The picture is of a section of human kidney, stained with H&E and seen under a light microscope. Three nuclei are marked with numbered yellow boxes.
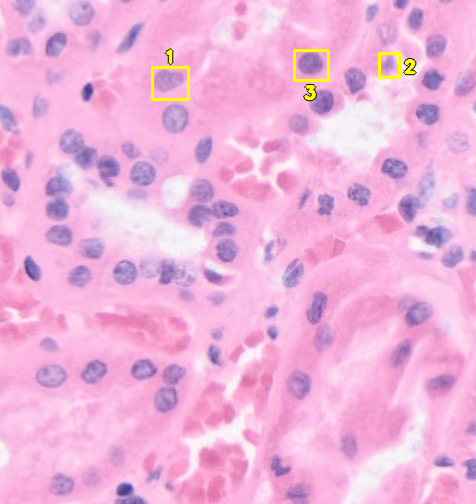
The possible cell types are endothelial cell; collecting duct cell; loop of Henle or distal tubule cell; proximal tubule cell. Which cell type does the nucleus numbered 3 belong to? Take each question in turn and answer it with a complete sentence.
The cell numbered 3 represents a proximal tubule cell.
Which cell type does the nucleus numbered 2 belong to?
Cell 2 of the marked set is a loop of Henle or distal tubule cell.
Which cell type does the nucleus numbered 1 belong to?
Of the numbered cells, the one labelled 1 is a proximal tubule cell.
